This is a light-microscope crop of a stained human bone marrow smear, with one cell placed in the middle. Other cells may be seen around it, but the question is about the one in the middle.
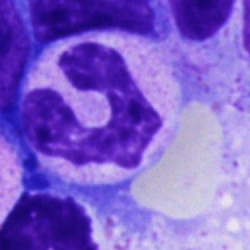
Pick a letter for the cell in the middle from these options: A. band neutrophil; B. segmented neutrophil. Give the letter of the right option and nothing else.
A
